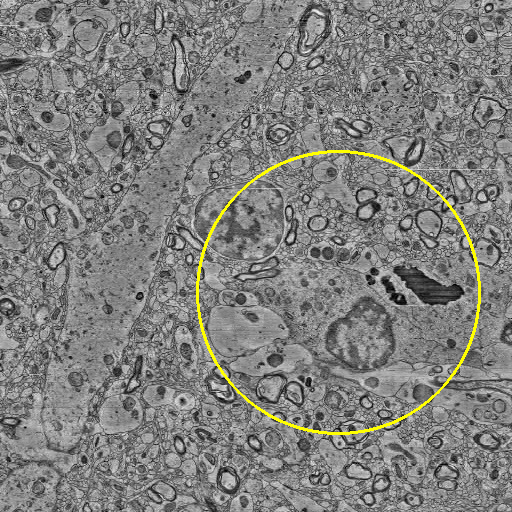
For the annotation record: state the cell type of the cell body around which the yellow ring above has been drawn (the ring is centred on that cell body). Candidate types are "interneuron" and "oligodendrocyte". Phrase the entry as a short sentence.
The ringed cell is an oligodendrocyte.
